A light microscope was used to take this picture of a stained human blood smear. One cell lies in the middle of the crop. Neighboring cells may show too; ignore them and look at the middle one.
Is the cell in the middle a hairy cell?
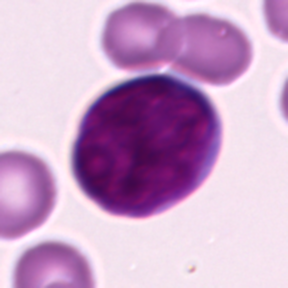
no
